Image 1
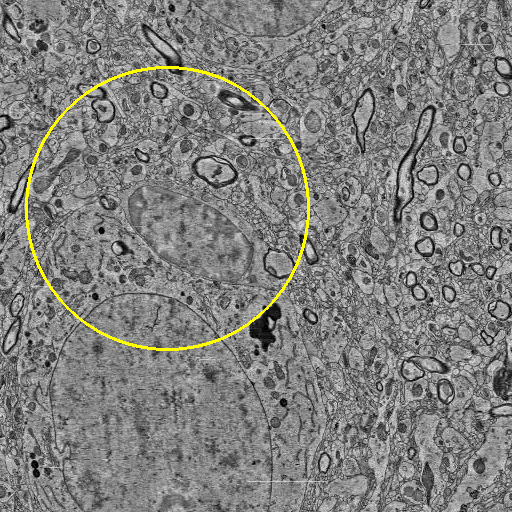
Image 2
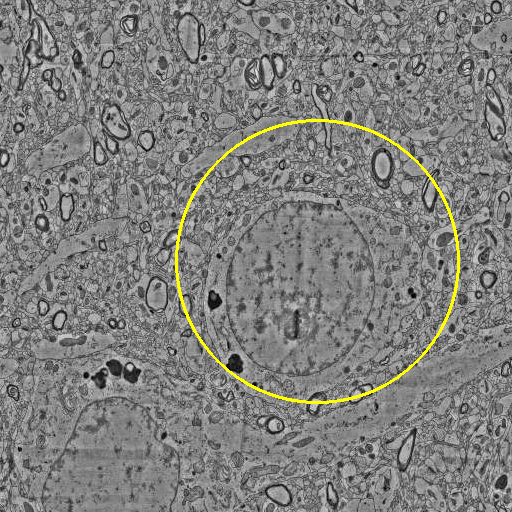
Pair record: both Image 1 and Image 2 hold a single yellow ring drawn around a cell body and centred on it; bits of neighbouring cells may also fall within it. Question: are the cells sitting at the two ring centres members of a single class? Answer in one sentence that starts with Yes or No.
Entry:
No, the ring-centre cells in Image 1 and Image 2 come from two classes.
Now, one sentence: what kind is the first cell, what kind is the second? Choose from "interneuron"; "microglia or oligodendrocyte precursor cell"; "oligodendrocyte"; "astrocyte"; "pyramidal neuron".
The first picture has an oligodendrocyte at its ring centre, and the second has a pyramidal neuron.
